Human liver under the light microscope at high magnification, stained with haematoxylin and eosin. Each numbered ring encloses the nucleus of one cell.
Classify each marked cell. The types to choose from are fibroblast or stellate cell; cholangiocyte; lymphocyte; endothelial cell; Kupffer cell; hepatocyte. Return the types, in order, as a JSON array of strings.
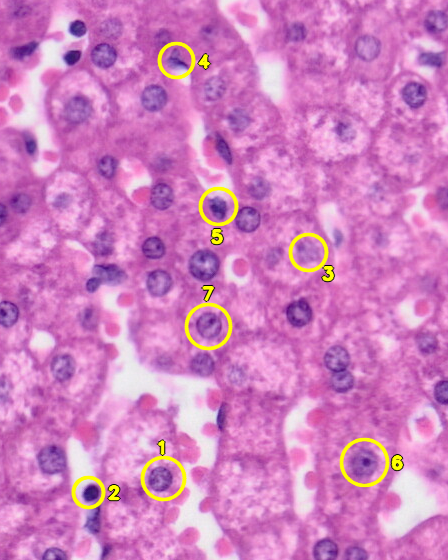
["hepatocyte", "lymphocyte", "hepatocyte", "endothelial cell", "fibroblast or stellate cell", "hepatocyte", "hepatocyte"]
